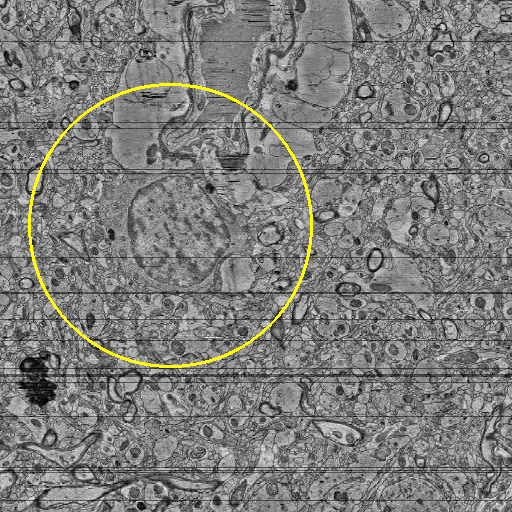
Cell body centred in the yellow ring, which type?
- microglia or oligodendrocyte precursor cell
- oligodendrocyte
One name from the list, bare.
oligodendrocyte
